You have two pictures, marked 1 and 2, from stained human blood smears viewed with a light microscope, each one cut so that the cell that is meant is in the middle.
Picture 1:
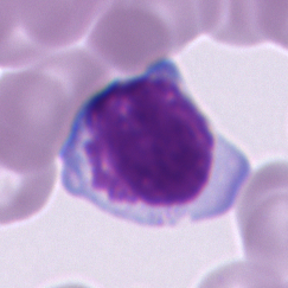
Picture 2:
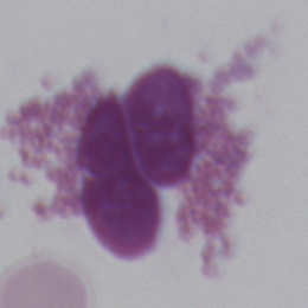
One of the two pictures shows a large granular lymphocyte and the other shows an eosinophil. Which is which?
1: large granular lymphocyte
2: eosinophil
